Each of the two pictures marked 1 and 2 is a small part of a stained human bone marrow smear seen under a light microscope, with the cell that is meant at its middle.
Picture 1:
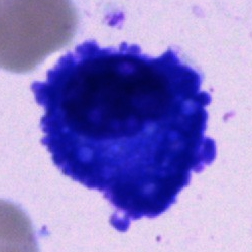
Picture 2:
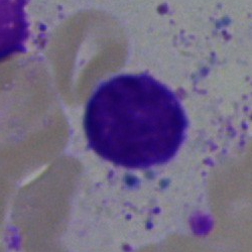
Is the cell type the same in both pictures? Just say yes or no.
no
